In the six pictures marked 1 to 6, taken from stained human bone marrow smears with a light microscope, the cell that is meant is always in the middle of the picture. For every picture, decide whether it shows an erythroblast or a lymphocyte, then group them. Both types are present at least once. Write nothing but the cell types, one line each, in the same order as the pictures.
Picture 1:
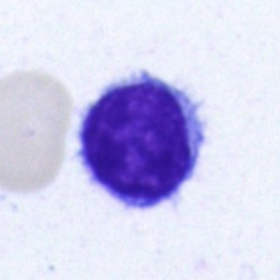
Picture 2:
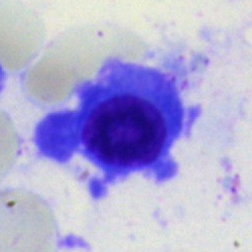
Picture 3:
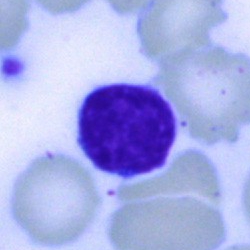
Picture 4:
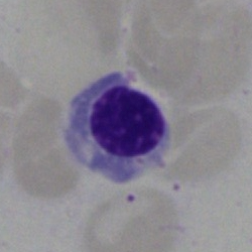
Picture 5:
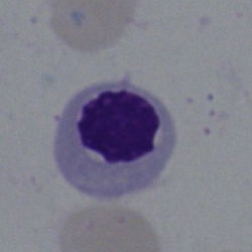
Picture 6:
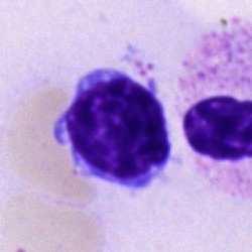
lymphocyte
erythroblast
lymphocyte
erythroblast
erythroblast
lymphocyte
